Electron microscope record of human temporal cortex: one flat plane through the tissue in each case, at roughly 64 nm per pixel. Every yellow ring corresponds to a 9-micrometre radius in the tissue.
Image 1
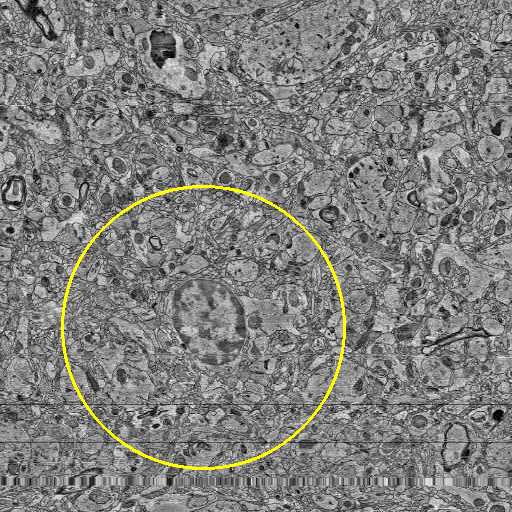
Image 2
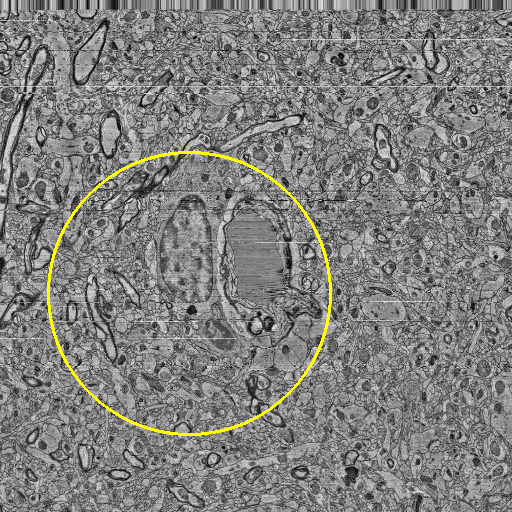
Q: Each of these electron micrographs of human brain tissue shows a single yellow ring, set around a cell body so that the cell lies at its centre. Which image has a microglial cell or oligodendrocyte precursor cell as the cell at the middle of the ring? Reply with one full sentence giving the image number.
In image 1, the cell lying at the ring's centre is the requested one.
